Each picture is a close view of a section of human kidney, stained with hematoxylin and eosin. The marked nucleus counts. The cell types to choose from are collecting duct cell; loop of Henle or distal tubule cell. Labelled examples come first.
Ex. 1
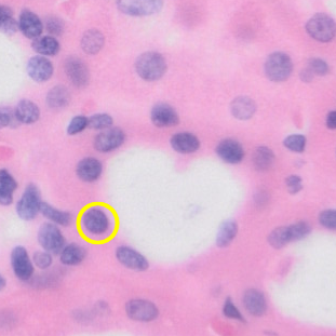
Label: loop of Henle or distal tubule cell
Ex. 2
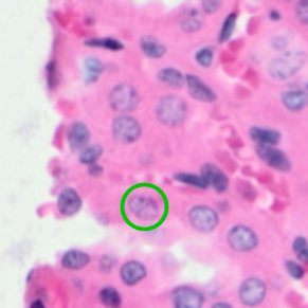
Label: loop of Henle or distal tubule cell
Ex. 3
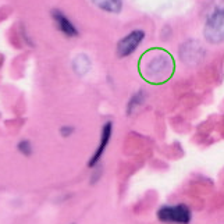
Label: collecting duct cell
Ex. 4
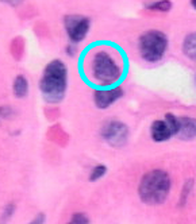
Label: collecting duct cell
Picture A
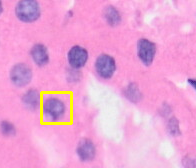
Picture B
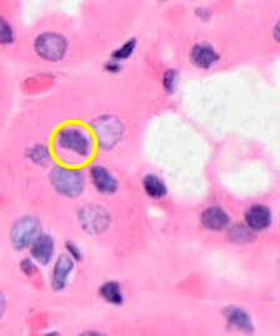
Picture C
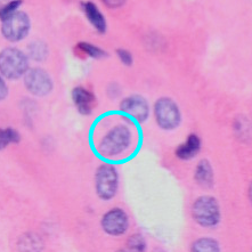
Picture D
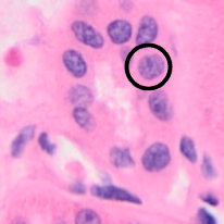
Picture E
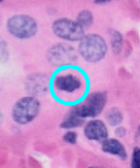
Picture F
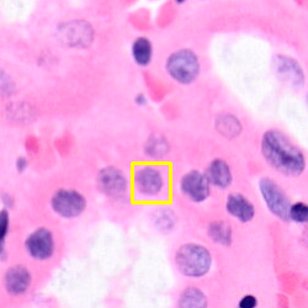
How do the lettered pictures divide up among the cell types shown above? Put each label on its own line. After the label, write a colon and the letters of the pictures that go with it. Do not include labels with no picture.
collecting duct cell: C, D, E
loop of Henle or distal tubule cell: A, B, F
